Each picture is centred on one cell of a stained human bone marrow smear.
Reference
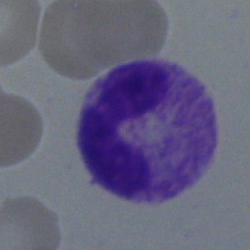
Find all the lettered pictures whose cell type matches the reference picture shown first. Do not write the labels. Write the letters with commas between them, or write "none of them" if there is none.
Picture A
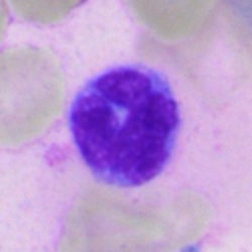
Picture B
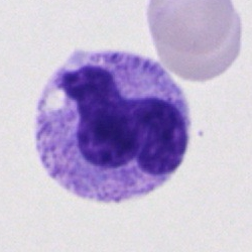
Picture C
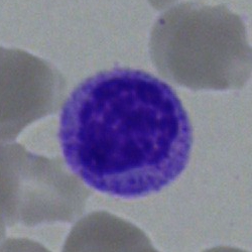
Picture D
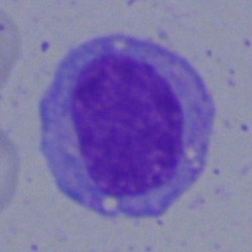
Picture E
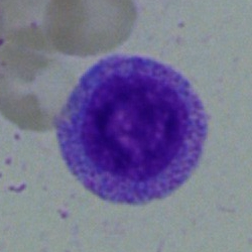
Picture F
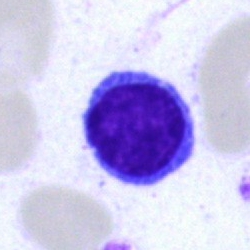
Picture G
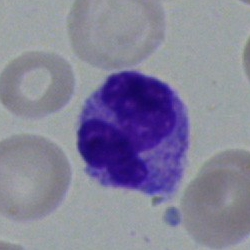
B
